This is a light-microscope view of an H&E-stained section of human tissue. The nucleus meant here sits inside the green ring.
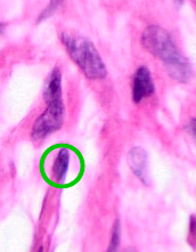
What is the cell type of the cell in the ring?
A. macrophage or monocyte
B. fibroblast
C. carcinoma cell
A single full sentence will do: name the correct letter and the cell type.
As stated in option B, the cell in the ring is a fibroblast.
